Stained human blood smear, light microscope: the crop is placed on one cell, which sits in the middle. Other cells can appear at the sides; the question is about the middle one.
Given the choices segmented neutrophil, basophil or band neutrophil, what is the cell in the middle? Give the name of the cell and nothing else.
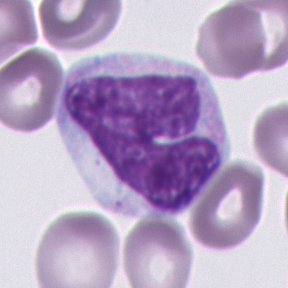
band neutrophil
